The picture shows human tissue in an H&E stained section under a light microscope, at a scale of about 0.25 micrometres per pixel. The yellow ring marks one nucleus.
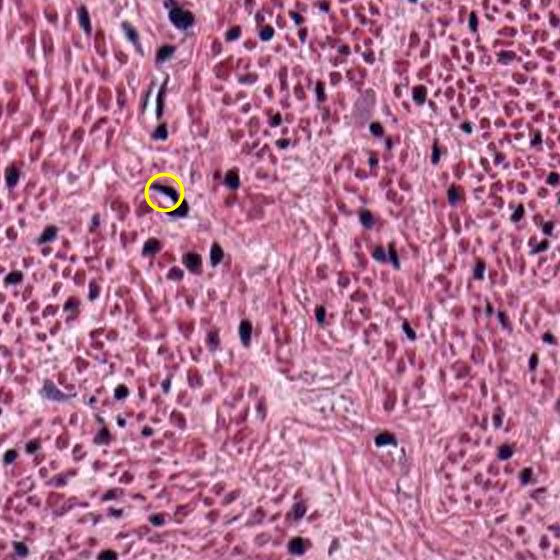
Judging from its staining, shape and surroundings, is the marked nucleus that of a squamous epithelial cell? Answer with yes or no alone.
no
